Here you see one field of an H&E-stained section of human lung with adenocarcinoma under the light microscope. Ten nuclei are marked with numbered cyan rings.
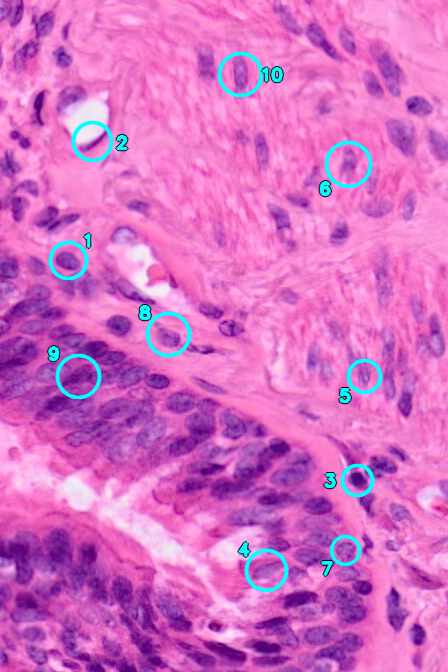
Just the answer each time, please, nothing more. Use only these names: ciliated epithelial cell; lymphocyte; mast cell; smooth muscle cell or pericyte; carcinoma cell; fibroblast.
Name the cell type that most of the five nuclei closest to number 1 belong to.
fibroblast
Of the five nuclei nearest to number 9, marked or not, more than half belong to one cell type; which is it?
ciliated epithelial cell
